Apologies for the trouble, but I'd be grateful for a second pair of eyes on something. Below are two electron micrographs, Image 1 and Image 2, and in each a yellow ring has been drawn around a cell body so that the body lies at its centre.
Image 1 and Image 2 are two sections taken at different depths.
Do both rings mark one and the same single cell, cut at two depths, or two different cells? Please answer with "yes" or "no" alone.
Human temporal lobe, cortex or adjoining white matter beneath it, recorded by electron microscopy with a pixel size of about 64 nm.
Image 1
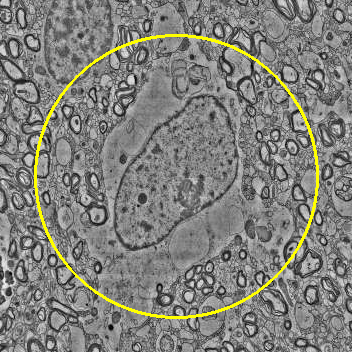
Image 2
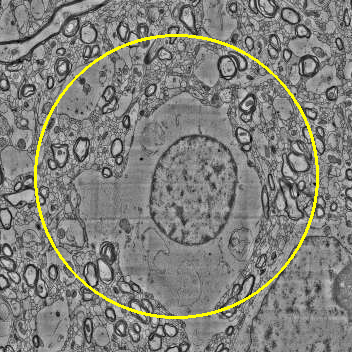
no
